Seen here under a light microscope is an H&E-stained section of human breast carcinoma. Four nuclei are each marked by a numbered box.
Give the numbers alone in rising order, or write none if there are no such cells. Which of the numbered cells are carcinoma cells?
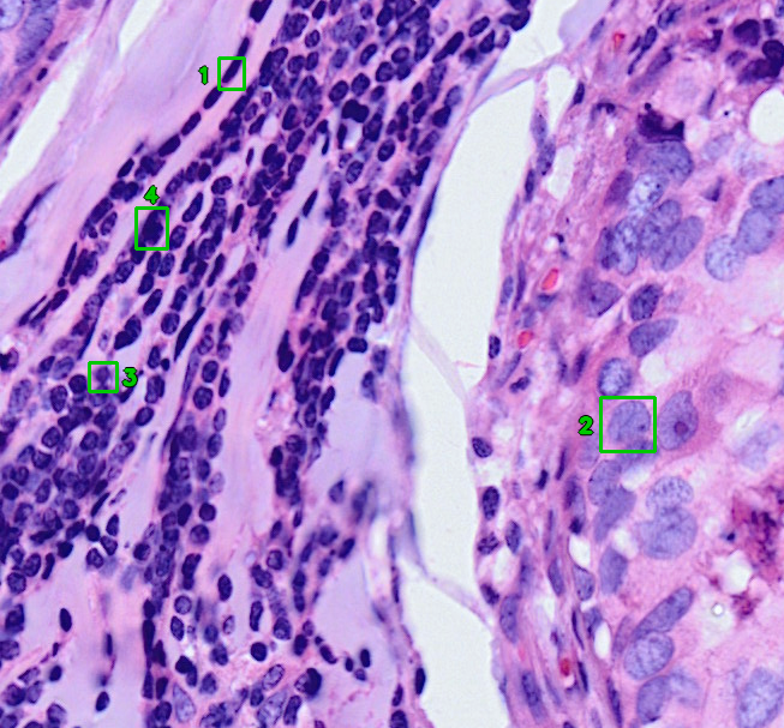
2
